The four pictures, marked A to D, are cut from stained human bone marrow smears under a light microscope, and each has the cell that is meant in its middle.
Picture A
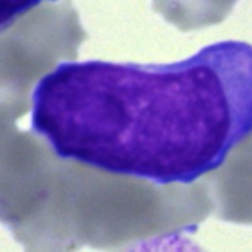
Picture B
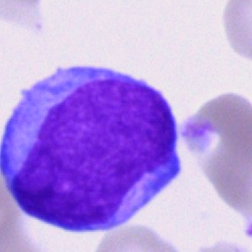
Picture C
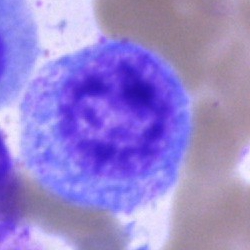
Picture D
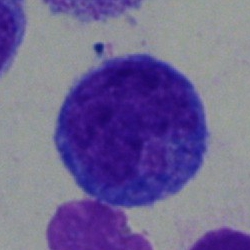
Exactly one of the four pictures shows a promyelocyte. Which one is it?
C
